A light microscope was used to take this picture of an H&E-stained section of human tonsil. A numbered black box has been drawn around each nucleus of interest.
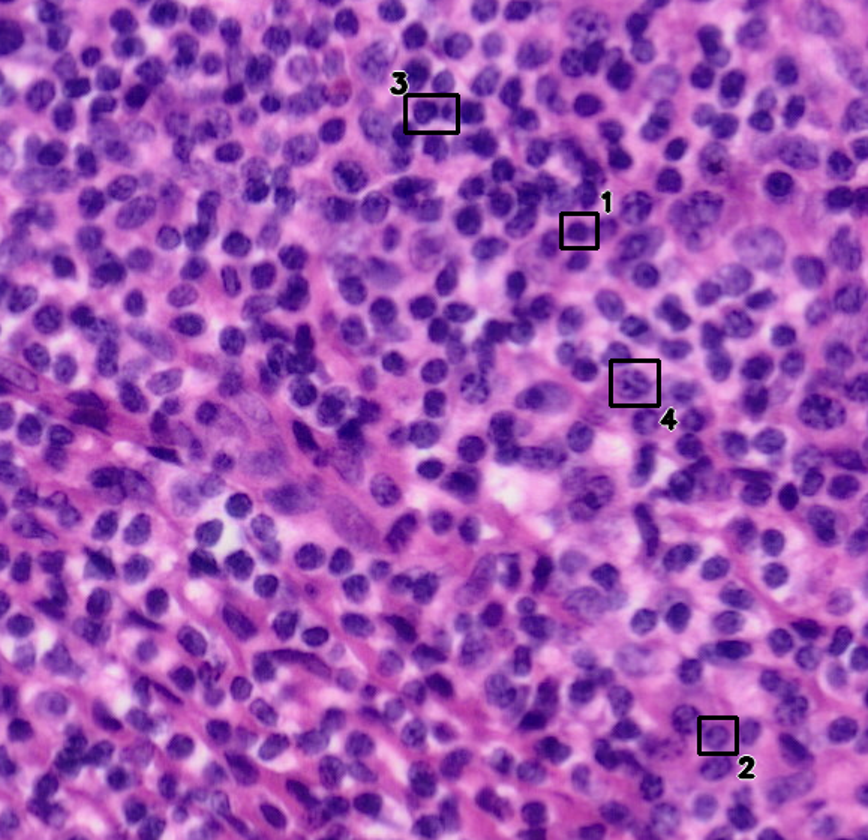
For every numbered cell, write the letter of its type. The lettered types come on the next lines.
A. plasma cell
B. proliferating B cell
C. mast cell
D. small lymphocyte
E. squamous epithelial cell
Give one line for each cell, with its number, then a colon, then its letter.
1: D
2: A
3: D
4: A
